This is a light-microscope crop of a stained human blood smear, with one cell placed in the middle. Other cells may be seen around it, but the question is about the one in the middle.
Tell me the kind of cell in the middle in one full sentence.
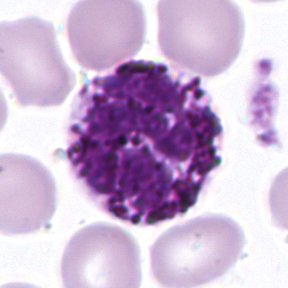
In the middle of this smear crop is a basophil.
